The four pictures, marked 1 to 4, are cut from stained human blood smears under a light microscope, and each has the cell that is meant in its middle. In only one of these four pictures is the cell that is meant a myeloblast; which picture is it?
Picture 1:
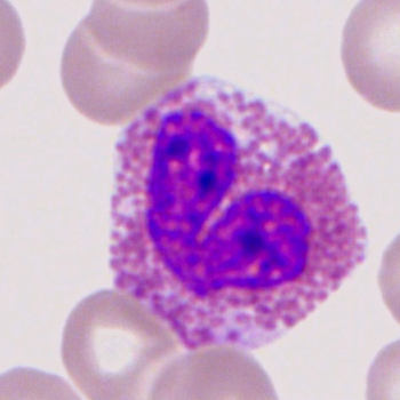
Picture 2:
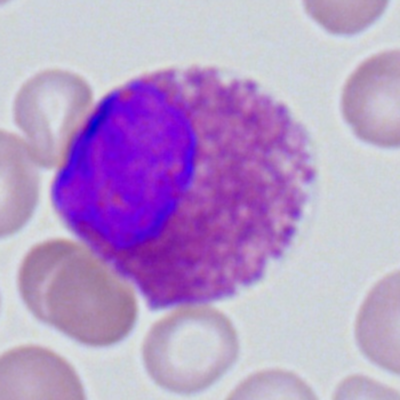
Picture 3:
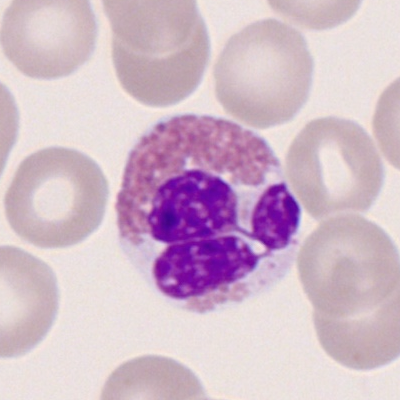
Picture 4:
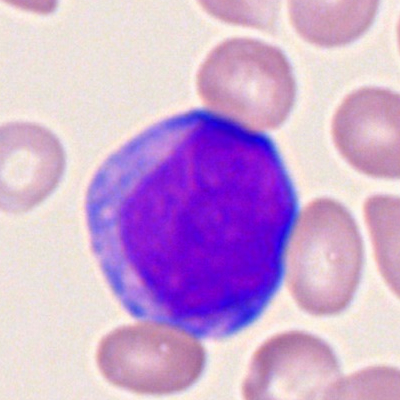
4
